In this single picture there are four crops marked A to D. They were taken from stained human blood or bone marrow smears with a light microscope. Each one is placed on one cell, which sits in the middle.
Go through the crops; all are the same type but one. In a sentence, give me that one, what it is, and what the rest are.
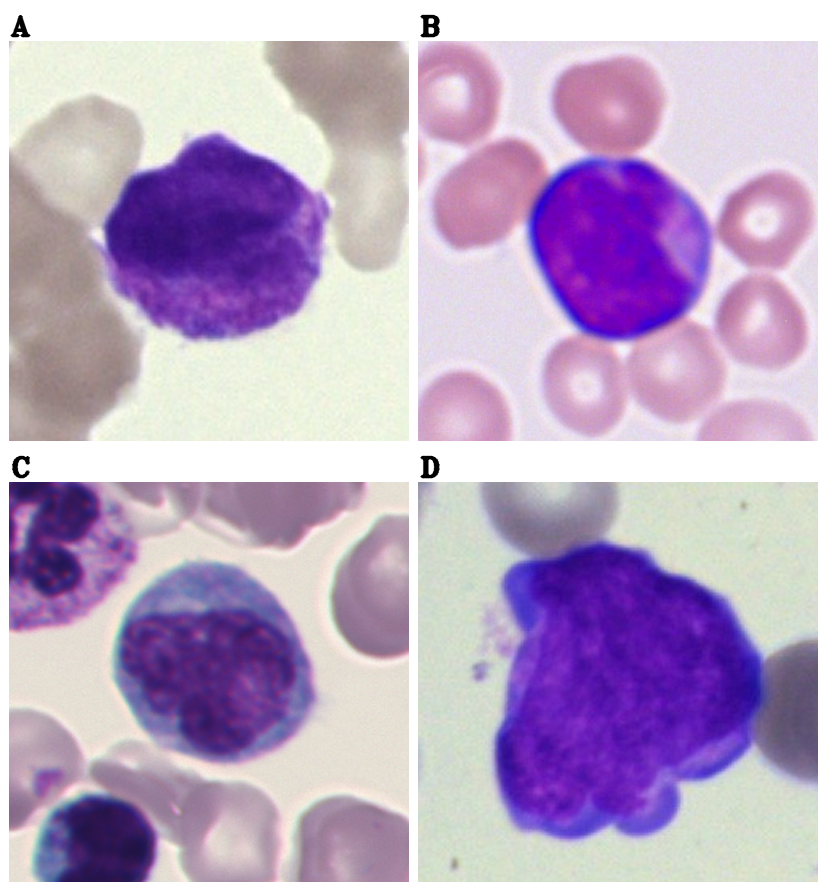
The one crop not showing blasts is crop C, which shows a monocyte.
